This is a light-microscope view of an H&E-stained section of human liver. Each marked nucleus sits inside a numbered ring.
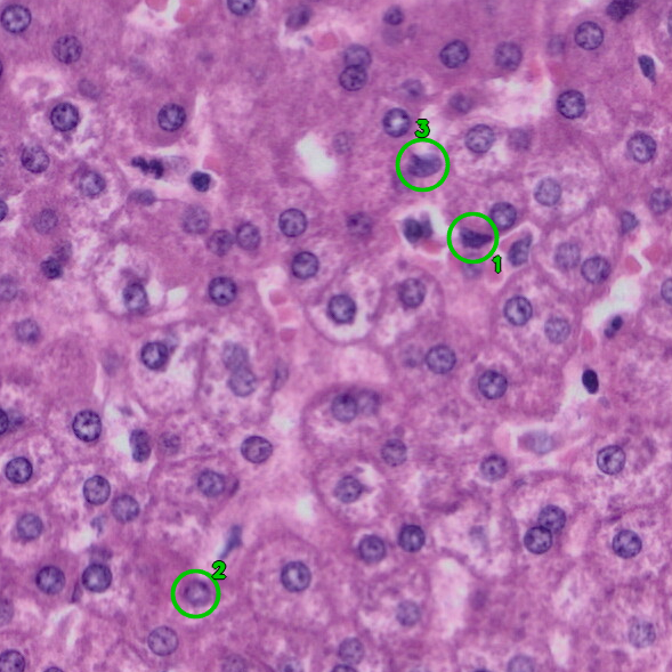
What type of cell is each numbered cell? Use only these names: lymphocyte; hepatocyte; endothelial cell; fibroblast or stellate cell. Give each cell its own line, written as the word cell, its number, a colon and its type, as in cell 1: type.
cell 1: fibroblast or stellate cell
cell 2: hepatocyte
cell 3: endothelial cell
